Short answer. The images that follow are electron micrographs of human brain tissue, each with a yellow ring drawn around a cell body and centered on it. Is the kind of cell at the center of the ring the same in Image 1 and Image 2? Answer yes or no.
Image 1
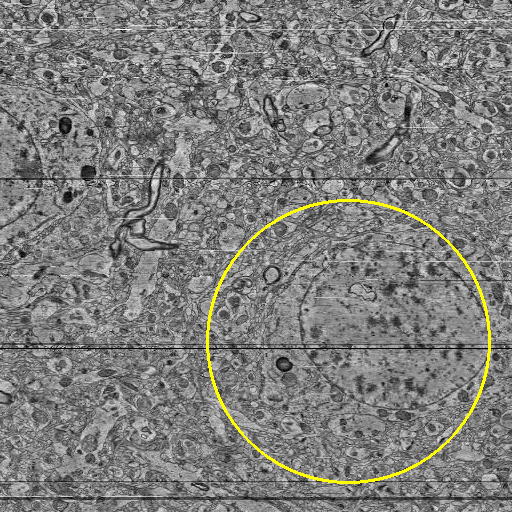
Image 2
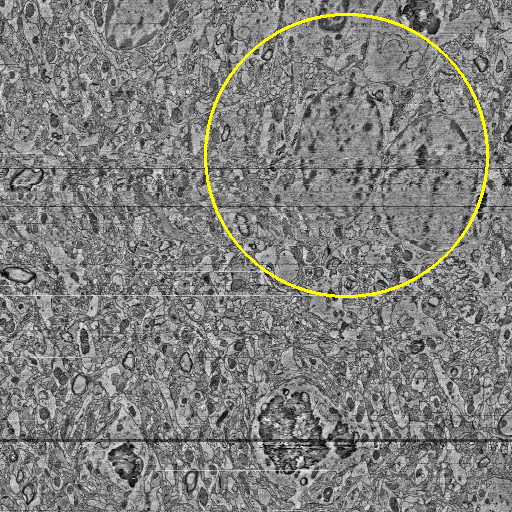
no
